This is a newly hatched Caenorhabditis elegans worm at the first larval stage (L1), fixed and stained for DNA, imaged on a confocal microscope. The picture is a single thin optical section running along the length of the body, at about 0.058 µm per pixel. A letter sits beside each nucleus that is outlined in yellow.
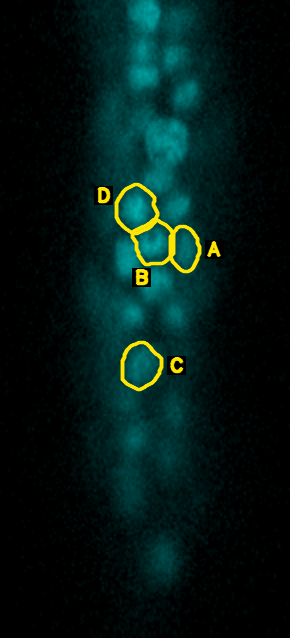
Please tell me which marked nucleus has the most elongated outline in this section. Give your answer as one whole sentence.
Nucleus A is the longest relative to its width.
